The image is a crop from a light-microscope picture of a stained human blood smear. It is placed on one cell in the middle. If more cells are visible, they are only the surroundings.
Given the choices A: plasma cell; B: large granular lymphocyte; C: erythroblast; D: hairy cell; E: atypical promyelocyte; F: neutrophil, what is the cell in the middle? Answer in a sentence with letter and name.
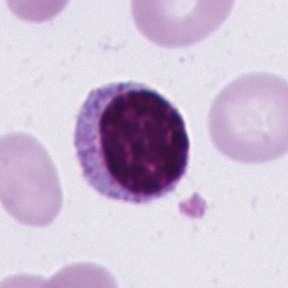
The one cell at the centre is a large granular lymphocyte, as correctly stated in option B.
